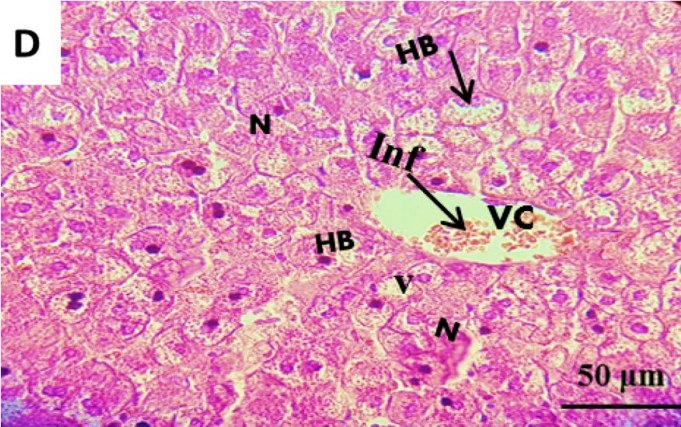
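This is liver tissue with hepatocytes around a central vein whose lumen contains red blood cells and other cells. Many hepatocytes are enlarged and pale, with cleared, reticulated or vacuolated cytoplasm, giving a ballooned appearance. Some cells have small, dark, condensed nuclei, while others show pale round nuclei. The cell borders are prominent and the cord arrangement is less regular than in normal liver. The vein lumen is widened and holds a cluster of blood cells.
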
